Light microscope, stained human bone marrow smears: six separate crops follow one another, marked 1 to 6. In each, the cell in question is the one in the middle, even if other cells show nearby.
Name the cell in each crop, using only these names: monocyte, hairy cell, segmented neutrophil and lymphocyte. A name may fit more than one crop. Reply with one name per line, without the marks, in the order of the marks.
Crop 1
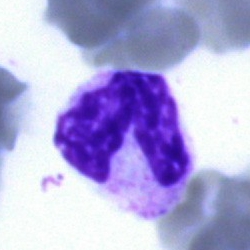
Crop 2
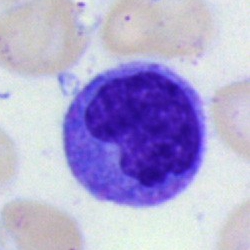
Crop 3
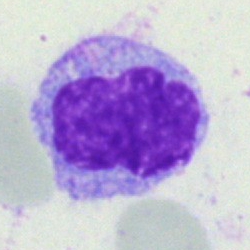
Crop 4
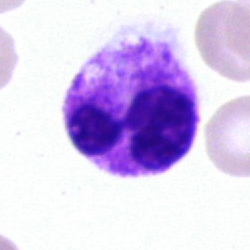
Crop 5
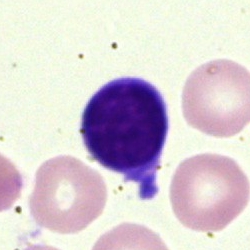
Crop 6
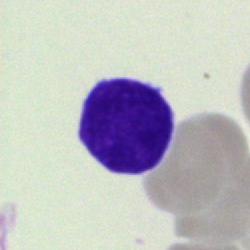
segmented neutrophil
monocyte
monocyte
segmented neutrophil
lymphocyte
lymphocyte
